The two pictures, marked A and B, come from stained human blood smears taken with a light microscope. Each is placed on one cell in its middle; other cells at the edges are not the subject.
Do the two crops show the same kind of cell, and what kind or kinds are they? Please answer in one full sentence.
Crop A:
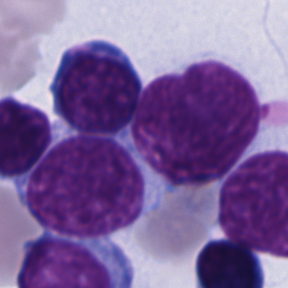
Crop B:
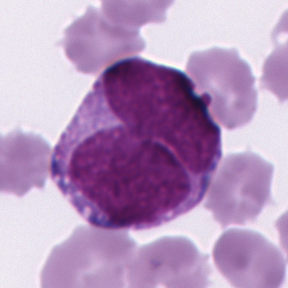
Yes, the cells at the centres of the two crops are myeloblasts.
